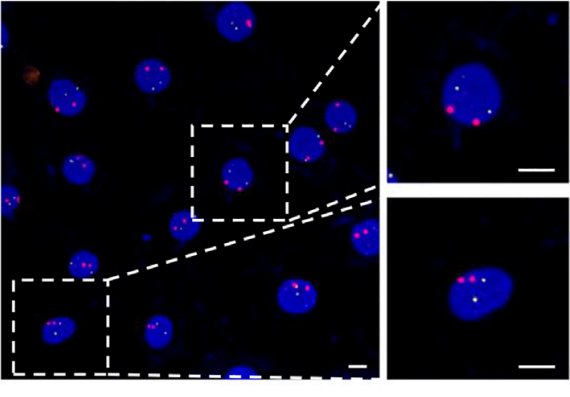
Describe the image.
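Scattered, well-separated round to oval nuclei stain evenly blue, and each carries a few small bright dots. Most nuclei show two red dots and two smaller yellowish dots lying apart from each other within the nucleus.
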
